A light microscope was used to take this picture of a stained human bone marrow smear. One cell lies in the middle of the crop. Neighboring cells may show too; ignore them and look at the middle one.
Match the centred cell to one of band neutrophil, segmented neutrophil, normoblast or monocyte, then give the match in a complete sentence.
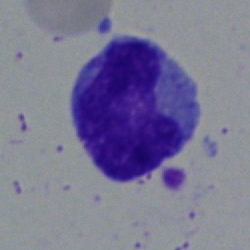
The central element of this crop is a cell, namely a monocyte.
